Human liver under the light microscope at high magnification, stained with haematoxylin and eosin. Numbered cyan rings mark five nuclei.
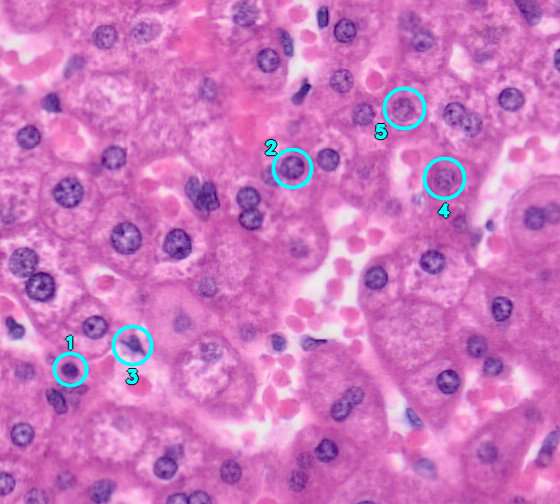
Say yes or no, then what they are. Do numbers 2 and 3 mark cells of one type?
No, cell 2 is a hepatocyte, and cell 3, for its part, is an endothelial cell.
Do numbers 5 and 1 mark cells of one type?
No, cell 5 is identified as a hepatocyte, and cell 1 is identified as a lymphocyte.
